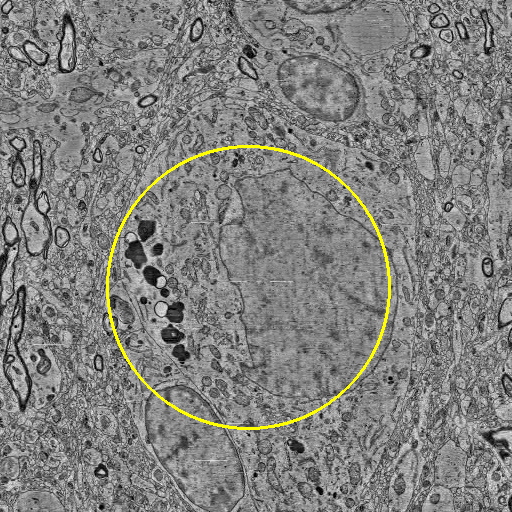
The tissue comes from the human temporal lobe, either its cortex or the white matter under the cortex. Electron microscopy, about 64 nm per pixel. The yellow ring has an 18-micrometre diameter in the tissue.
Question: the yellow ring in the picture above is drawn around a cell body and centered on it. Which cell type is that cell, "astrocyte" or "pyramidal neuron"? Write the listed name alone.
pyramidal neuron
